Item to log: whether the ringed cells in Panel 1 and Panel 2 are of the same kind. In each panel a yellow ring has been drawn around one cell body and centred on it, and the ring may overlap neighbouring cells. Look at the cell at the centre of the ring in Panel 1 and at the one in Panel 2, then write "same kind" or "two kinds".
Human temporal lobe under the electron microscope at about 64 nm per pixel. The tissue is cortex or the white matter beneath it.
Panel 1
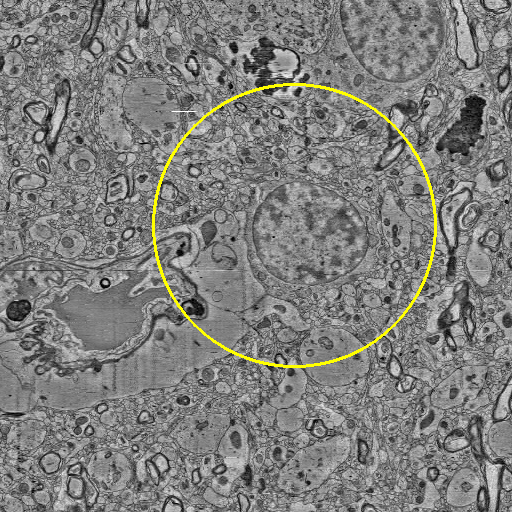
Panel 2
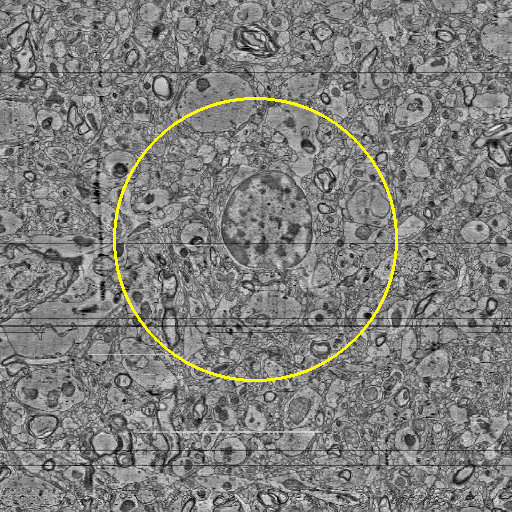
two kinds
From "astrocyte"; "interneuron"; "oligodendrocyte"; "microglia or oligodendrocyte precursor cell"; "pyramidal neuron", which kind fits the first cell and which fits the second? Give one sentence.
The cell marked in the first picture is an oligodendrocyte, and the one marked in the second is a microglial cell or oligodendrocyte precursor cell.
